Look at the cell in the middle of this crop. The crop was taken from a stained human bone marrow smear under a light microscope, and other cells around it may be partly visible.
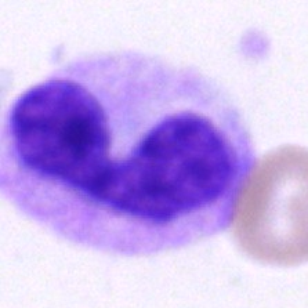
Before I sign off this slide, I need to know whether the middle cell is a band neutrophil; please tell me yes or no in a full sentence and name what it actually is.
Yes, the cell that occupies the centre is a band neutrophil.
